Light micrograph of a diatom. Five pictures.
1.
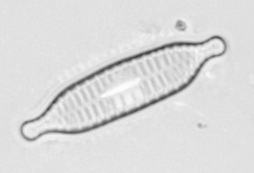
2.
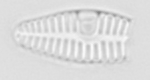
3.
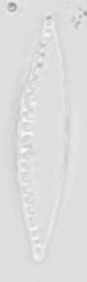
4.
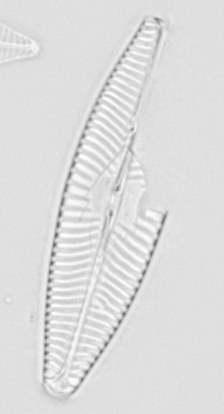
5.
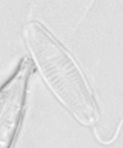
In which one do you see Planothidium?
In picture 2.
